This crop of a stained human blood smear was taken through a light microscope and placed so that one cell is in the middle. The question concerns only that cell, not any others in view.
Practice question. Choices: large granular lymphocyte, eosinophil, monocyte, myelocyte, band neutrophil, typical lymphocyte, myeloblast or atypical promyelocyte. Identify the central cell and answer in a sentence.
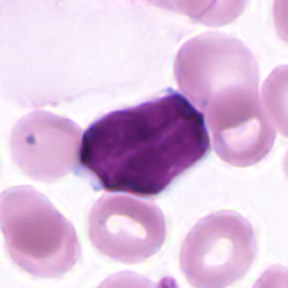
The cell at the centre of the field is a typical lymphocyte.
